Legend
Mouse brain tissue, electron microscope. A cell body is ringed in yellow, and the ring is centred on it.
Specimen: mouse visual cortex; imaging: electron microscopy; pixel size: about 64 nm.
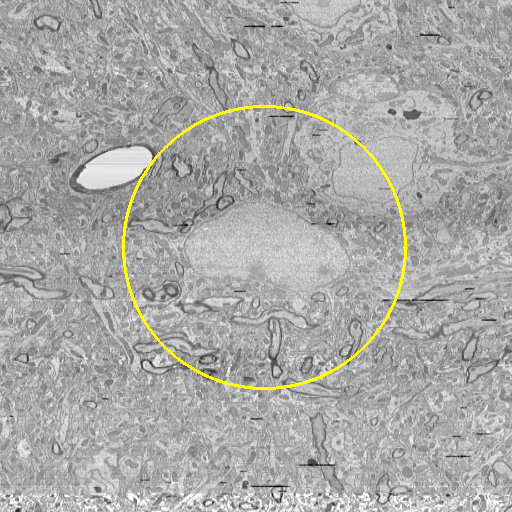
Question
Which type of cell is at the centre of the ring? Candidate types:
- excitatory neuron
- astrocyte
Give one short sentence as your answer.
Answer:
The yellow ring is centred here on an astrocyte.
